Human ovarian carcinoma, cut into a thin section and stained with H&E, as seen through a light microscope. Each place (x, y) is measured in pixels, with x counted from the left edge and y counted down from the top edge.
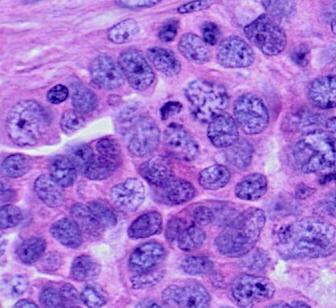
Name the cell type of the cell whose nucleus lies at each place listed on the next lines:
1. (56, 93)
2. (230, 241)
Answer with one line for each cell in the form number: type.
1: lymphocyte
2: carcinoma cell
